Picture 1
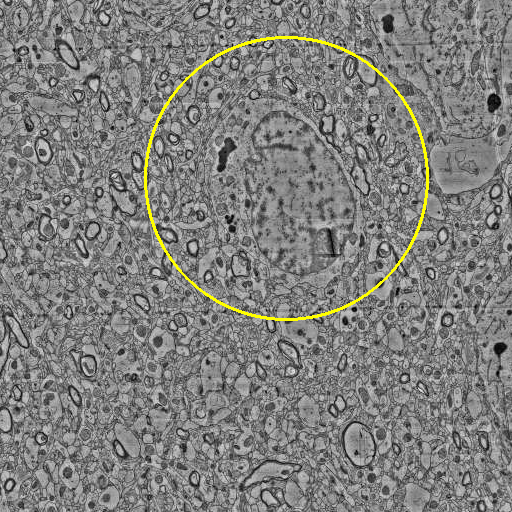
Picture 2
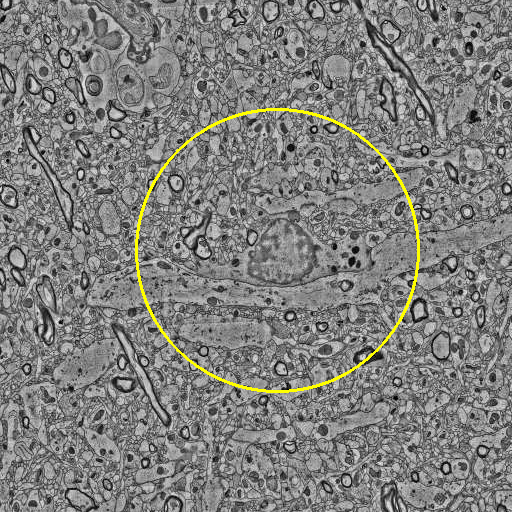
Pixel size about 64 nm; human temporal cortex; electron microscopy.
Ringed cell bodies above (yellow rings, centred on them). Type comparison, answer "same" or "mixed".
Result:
mixed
